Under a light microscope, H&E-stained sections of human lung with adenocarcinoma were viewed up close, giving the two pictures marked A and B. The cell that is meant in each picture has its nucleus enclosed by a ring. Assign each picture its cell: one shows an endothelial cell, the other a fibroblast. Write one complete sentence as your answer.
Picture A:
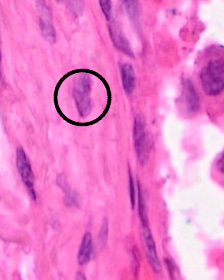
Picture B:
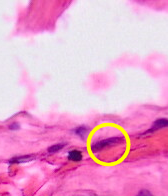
In picture A the cell is a fibroblast; in picture B, an endothelial cell.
